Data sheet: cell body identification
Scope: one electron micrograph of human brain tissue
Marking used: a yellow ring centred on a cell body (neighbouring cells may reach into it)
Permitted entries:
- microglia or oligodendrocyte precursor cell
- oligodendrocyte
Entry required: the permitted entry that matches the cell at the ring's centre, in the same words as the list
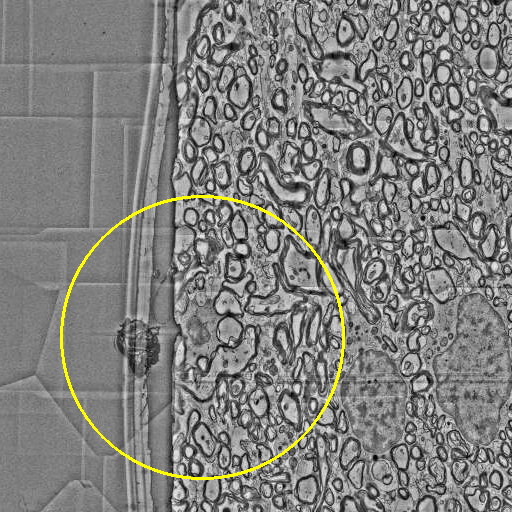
oligodendrocyte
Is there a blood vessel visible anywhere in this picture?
Yes, one appears.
